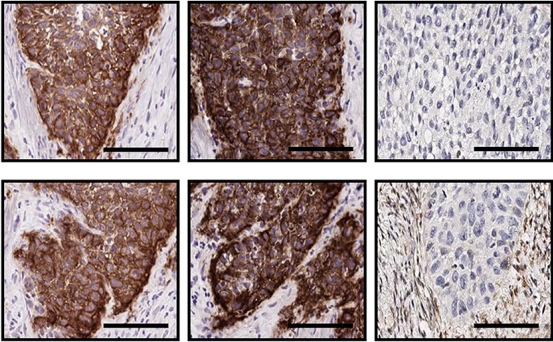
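These are sections of tumor tissue in which sheets and nests of crowded epithelial tumor cells are set within a stroma of thin, spindle-shaped cells. In the four images on the left, the tumor cells take up a strong brown stain that outlines their cell borders and fills their cytoplasm, while the surrounding stroma stays largely pale with blue nuclei. In the two images on the right, the tumor cells are pale, showing only their blue, oval nuclei in a light cytoplasm. In the lower right image, the brown stain instead lies in the spindle-shaped stromal cells beside the tumor nest.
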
